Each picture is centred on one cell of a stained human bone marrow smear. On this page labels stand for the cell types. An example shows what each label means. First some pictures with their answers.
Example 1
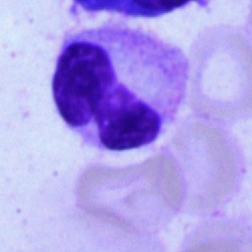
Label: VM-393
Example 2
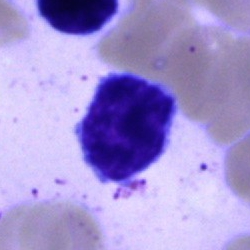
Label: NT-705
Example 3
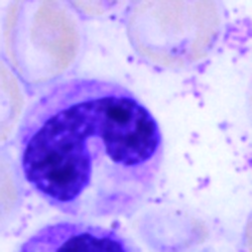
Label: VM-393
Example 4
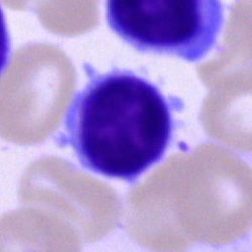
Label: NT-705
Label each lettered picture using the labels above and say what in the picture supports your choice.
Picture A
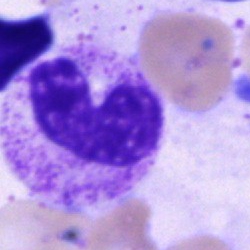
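VM-393: Many fine purple-pink granules are spread throughout the cytoplasm.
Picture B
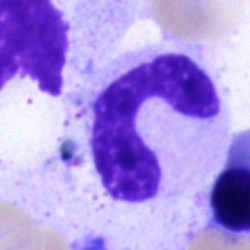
VM-393: The nucleus is bent into a C shape whose opening faces right.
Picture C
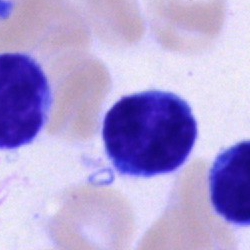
NT-705: Only a scant thin rim of cytoplasm is visible.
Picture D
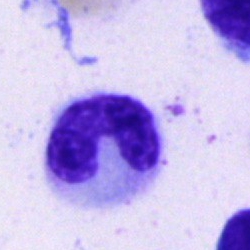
VM-393: The nucleus is bent into a horseshoe shape whose opening faces downward.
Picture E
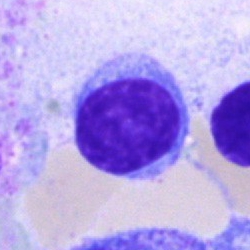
NT-705: The nucleus fills most of the cell.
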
